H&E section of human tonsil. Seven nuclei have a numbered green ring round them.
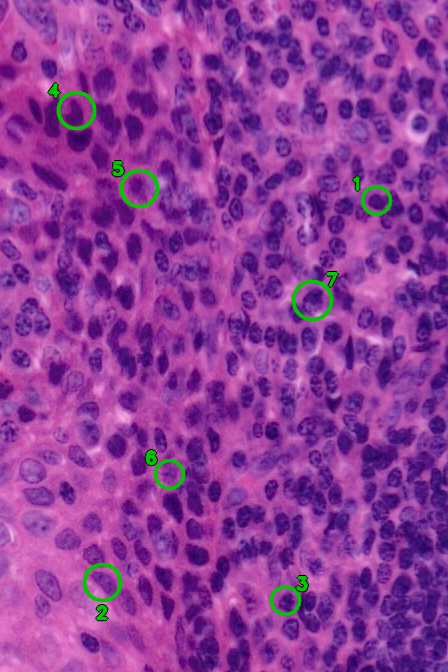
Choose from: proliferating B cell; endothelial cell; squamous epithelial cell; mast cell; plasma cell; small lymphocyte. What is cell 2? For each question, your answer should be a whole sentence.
The cell given label 2 is a squamous epithelial cell.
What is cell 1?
The cell assigned the number 1 is a plasma cell.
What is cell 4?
Corresponding to a squamous epithelial cell is the cell labelled 4.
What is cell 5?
To a squamous epithelial cell belongs the nucleus marked 5.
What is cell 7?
The correct answer for cell 7 is a plasma cell.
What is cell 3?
Number 3 among the marked cells is a plasma cell.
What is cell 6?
The cell that carries the label 6 is a squamous epithelial cell.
